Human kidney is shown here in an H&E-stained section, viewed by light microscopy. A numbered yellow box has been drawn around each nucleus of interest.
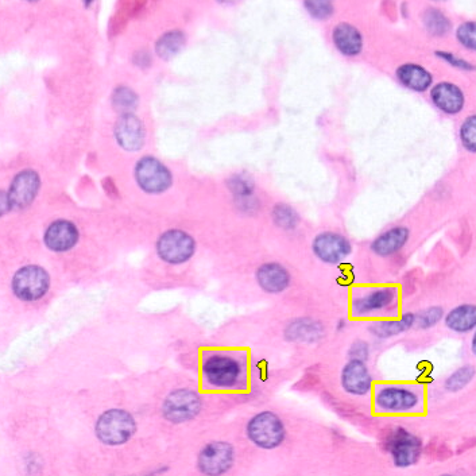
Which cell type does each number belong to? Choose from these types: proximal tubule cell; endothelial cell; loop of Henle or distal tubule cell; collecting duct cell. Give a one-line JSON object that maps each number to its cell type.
{"1": "proximal tubule cell", "2": "collecting duct cell", "3": "endothelial cell"}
